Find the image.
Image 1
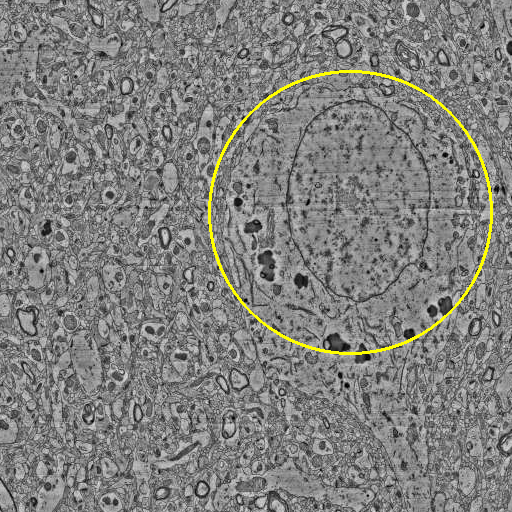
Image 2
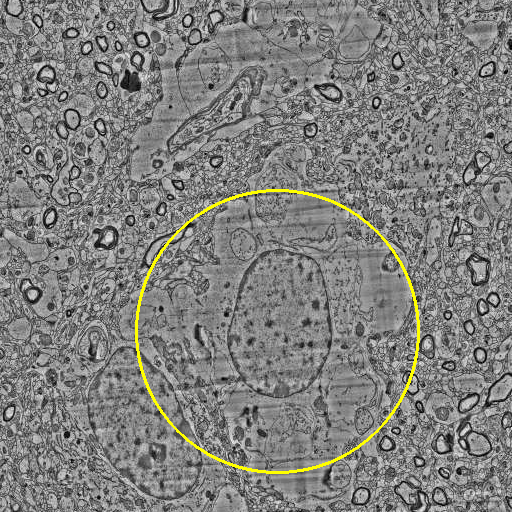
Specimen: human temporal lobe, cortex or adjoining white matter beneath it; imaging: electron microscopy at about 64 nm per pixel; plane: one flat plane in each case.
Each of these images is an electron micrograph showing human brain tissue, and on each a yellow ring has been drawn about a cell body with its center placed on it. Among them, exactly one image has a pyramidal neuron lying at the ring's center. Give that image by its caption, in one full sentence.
The ring in Image 1 is centered on the cell the question describes.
